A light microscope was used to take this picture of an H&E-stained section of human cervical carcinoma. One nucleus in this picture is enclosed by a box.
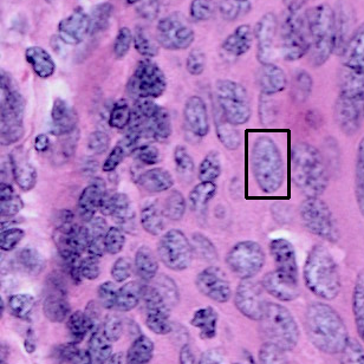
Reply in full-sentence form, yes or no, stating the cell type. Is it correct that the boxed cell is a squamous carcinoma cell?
Yes, and to confirm, the boxed cell is a squamous carcinoma cell.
